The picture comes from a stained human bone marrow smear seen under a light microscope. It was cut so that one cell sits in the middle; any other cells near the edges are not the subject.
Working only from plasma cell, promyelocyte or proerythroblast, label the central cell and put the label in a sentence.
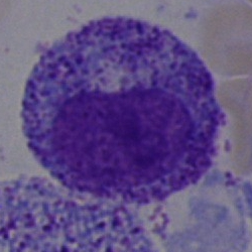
On this slide crop, the central cell is a promyelocyte.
